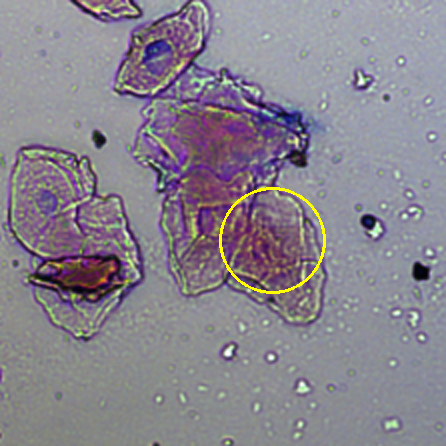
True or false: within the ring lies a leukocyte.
False: a cornified epithelial cell lies within the ring.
